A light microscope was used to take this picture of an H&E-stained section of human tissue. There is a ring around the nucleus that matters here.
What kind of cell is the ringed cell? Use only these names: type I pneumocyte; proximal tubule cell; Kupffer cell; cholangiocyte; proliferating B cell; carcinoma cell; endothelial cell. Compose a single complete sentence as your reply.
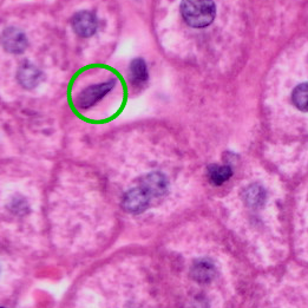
The category to which the ringed cell belongs is that of a Kupffer cell.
